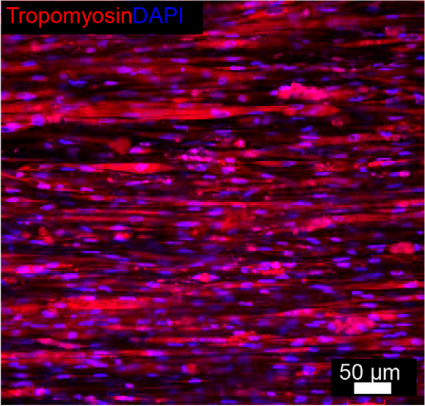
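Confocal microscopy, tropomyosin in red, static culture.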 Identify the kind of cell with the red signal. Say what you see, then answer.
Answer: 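Thin, long red strands run parallel from left to right. Blue nuclei line up along the red strands.
Myotubes.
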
